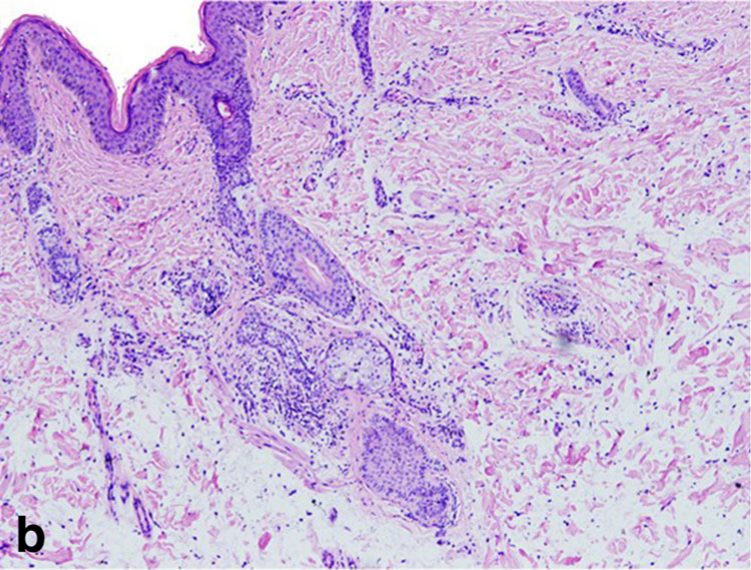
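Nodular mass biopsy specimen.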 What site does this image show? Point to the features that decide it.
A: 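Dark-purple cell clusters surround a follicular structure running obliquely through the dermis. Smaller cell cuffs surround small vessels in the dermis.
Hence: perivascular and periadnexal.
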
